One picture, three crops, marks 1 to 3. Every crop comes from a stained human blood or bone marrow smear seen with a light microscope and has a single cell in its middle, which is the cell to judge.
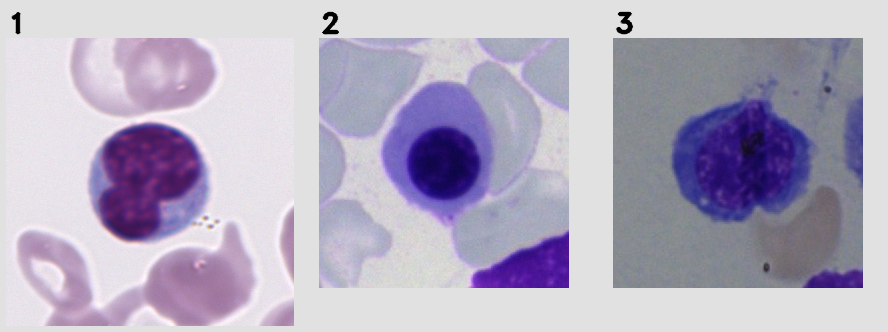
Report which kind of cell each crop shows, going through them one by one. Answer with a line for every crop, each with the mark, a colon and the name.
1: lymphocyte
2: erythroblast
3: erythroblast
